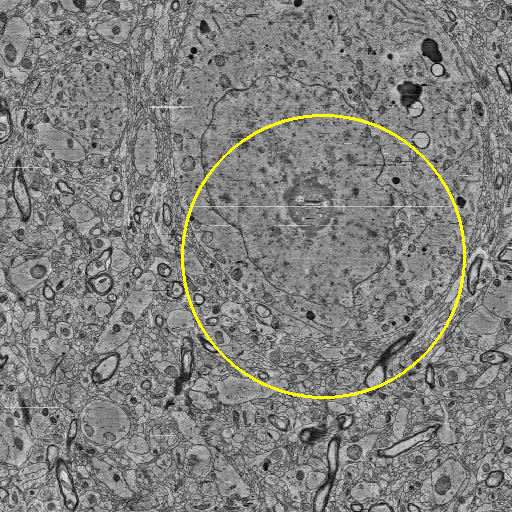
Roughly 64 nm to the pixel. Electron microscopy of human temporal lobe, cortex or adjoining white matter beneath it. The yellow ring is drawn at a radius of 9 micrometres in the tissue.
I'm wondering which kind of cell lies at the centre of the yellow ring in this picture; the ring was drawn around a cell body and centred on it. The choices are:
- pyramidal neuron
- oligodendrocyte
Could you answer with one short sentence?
At the centre of the ring lies a pyramidal neuron.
